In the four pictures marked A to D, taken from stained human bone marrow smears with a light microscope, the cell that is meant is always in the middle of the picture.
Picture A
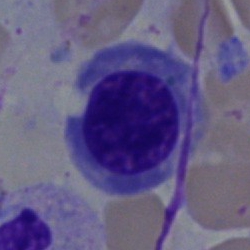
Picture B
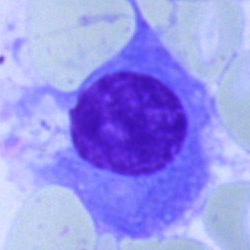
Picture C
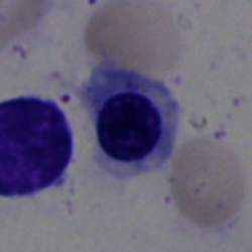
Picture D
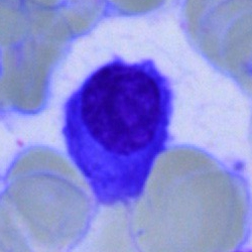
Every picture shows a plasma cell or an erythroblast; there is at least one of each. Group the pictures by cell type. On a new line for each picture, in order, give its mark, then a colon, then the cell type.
A: erythroblast
B: plasma cell
C: erythroblast
D: plasma cell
